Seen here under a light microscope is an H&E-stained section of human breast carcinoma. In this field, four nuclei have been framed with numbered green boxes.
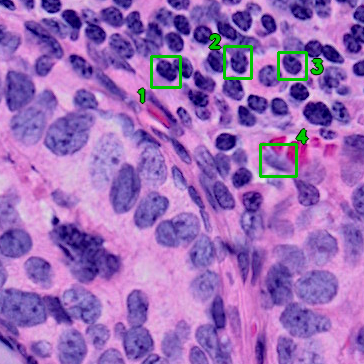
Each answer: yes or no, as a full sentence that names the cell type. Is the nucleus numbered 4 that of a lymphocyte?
No, the cell at number 4 is an endothelial cell instead of a lymphocyte.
